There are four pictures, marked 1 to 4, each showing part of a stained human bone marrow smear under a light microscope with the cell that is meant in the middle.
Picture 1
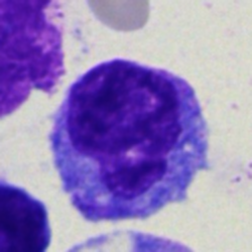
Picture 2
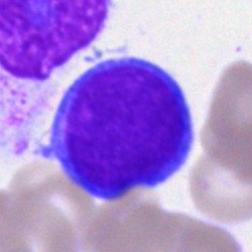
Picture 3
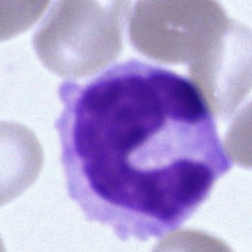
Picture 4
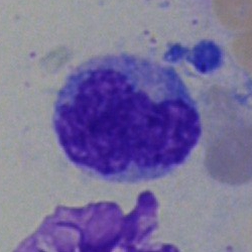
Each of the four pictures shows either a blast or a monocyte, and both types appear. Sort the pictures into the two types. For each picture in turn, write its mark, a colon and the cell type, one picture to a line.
1: monocyte
2: blast
3: monocyte
4: monocyte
